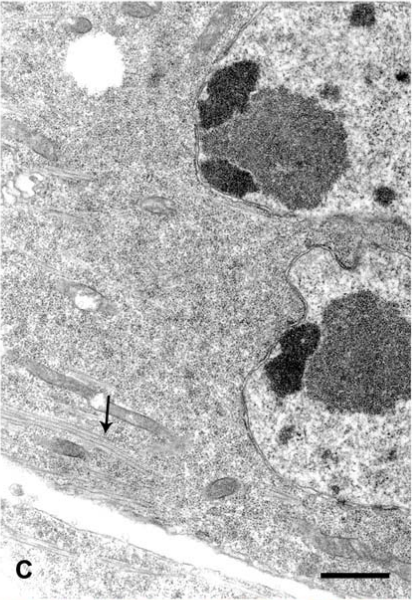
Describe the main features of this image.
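Central region of a muscle cell with two nuclei, each bearing large dense chromatin or nucleolar masses, lying in a finely granular cytoplasm. A bundle of parallel filaments runs along the border of the cell near the plasma membrane, while the centre around the nuclei lacks such bundles. A few mitochondria and vesicles are scattered in the cytoplasm.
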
